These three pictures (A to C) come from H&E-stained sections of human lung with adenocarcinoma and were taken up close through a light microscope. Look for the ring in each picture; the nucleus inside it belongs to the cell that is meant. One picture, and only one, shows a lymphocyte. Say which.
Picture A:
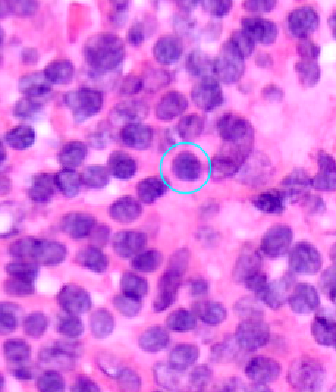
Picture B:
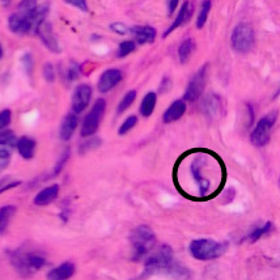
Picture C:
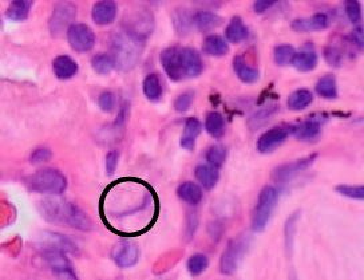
A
